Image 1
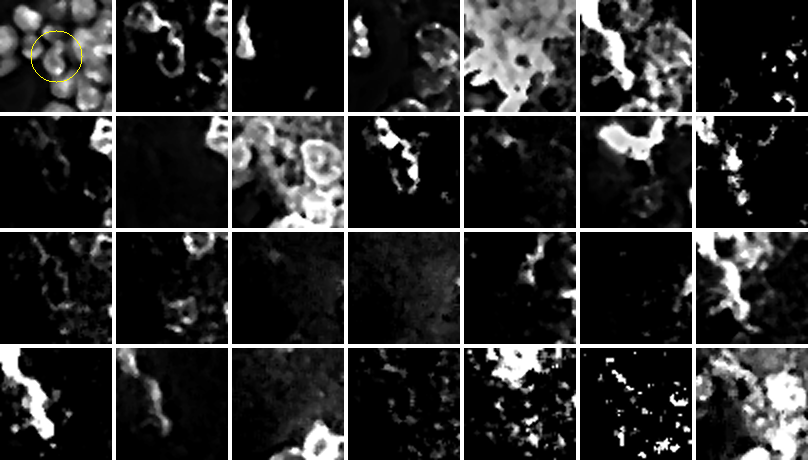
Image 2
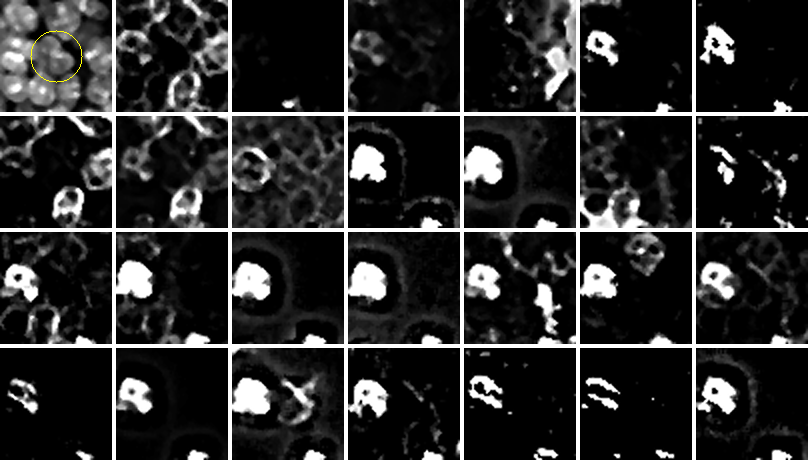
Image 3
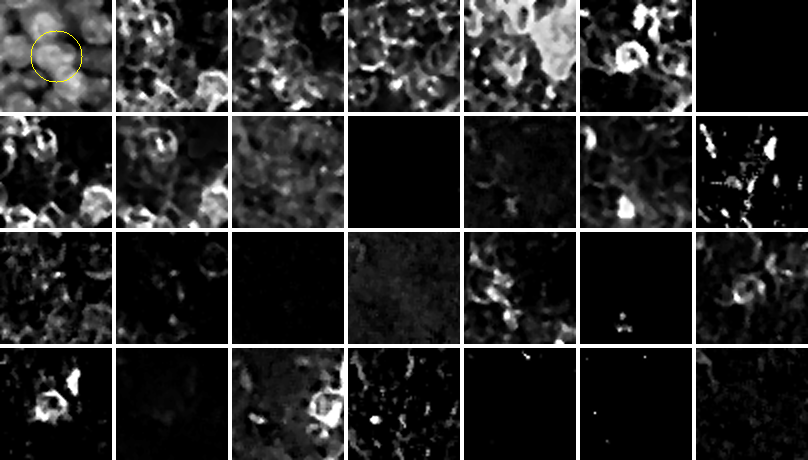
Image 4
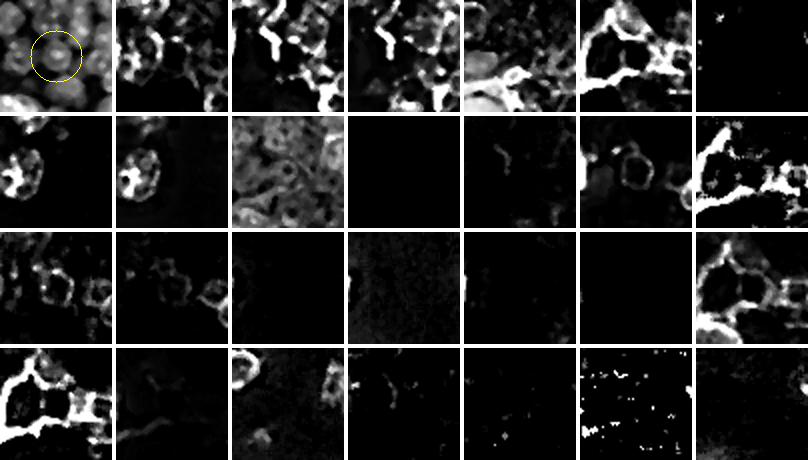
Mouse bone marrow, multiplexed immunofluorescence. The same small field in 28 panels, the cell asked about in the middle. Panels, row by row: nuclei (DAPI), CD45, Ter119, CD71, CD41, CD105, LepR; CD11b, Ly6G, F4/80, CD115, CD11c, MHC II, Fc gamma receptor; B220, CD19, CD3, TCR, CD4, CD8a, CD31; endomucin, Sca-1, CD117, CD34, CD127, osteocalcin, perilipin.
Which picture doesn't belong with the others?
Picture 2.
